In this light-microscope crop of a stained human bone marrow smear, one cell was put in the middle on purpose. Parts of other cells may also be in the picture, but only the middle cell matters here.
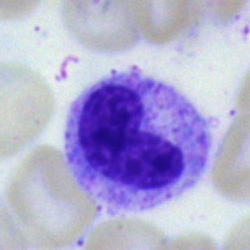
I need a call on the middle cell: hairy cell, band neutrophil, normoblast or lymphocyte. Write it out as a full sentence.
The cell featured at the centre of this crop is a band neutrophil.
